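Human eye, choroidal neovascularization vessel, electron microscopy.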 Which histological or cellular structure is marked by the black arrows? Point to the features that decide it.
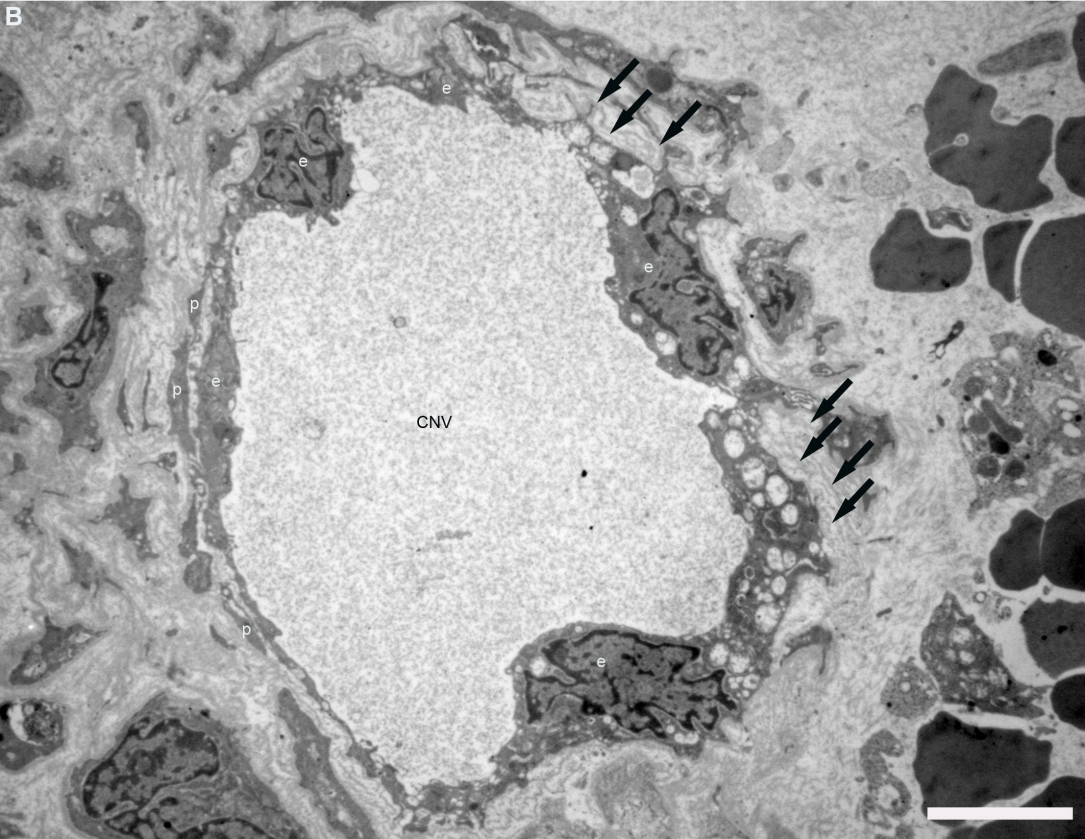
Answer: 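The layers are stacked and wavy around the vessel wall.
Answer: multi-layered basement membranes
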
